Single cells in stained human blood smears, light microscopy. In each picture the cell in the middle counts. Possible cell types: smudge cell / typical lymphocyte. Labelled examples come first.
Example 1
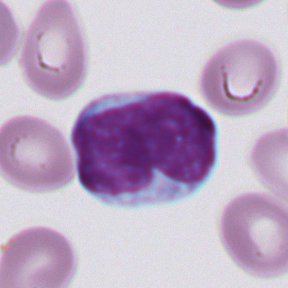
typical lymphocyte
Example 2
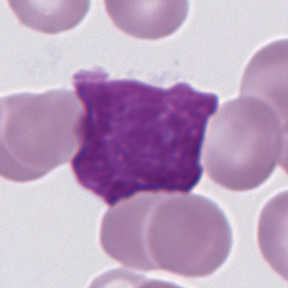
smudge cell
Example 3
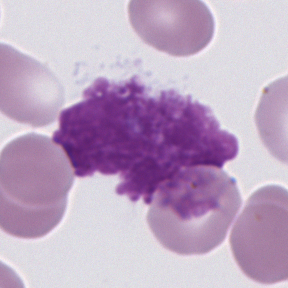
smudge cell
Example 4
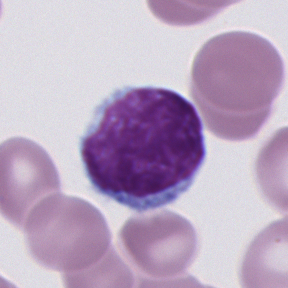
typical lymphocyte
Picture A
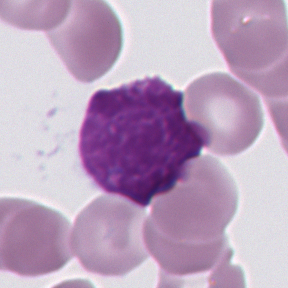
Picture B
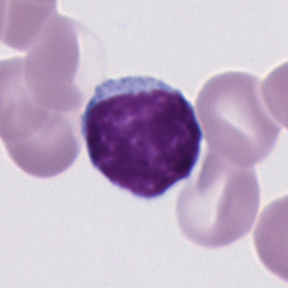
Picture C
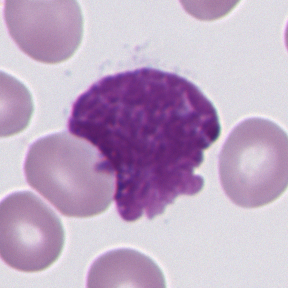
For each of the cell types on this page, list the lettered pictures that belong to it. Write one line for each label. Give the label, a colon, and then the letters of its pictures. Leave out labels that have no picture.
smudge cell: A, C
typical lymphocyte: B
